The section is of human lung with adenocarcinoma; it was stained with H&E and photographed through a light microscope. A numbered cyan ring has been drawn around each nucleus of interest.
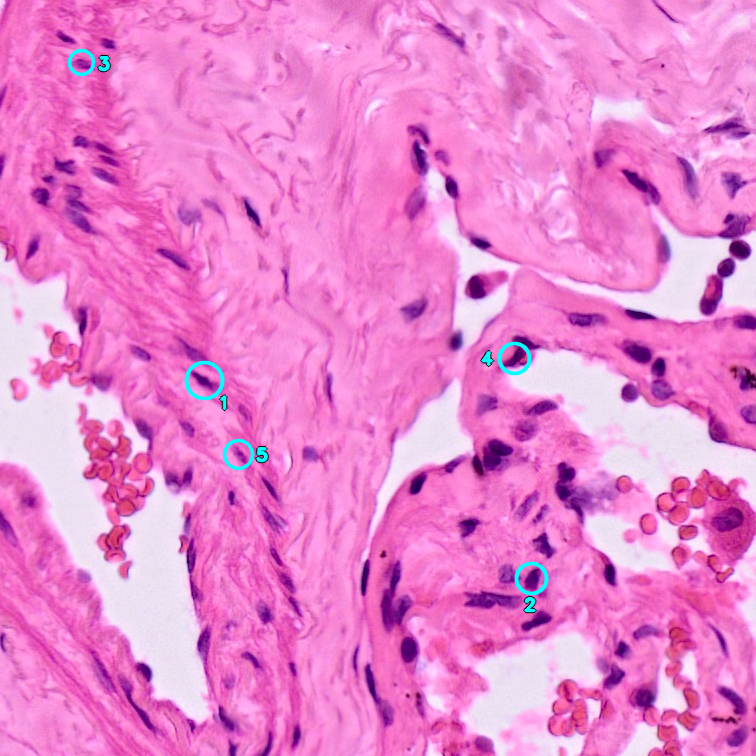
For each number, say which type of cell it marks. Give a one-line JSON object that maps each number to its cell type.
{"1": "smooth muscle cell or pericyte", "2": "plasma cell", "3": "smooth muscle cell or pericyte", "4": "endothelial cell", "5": "smooth muscle cell or pericyte"}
